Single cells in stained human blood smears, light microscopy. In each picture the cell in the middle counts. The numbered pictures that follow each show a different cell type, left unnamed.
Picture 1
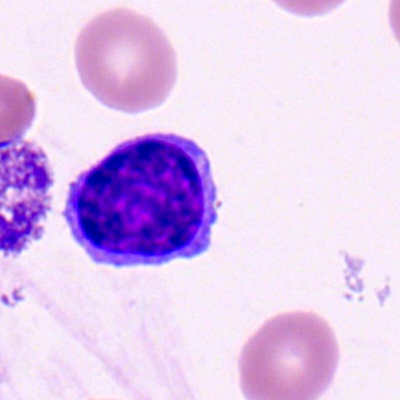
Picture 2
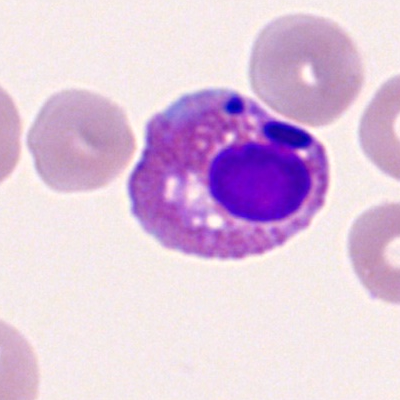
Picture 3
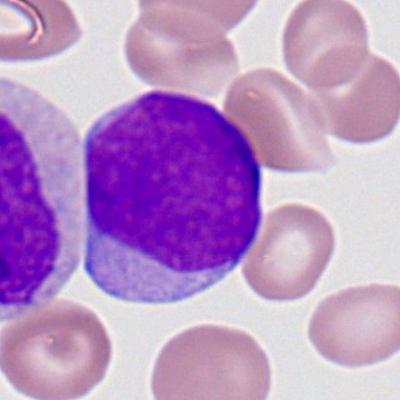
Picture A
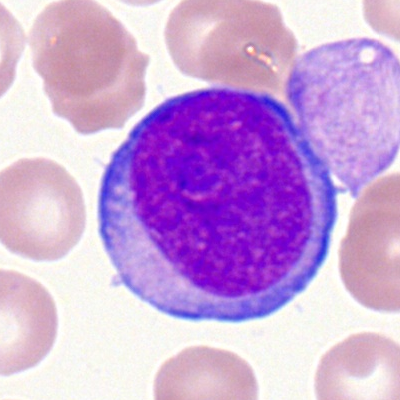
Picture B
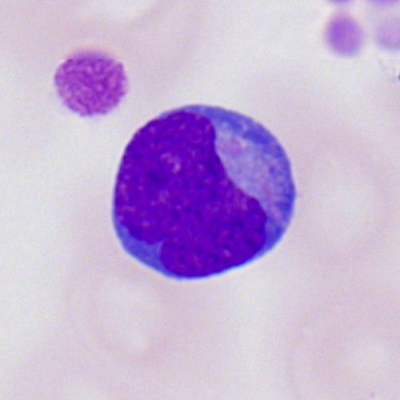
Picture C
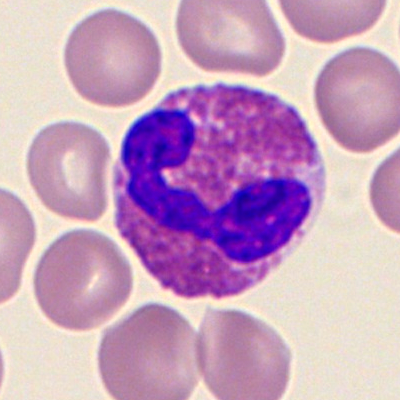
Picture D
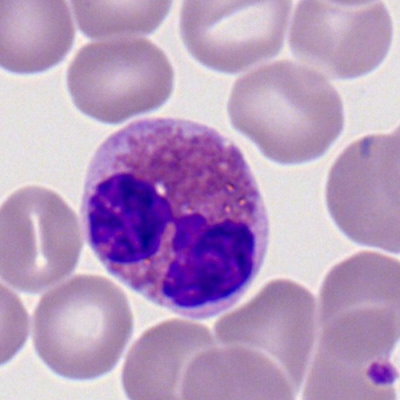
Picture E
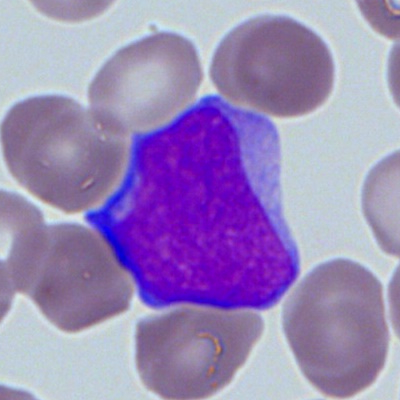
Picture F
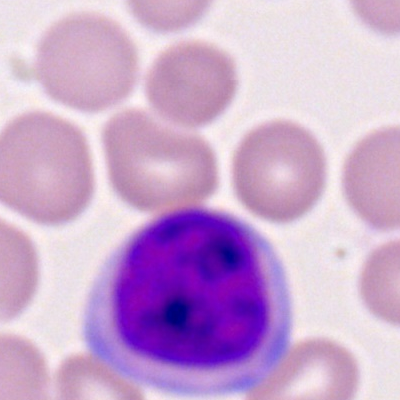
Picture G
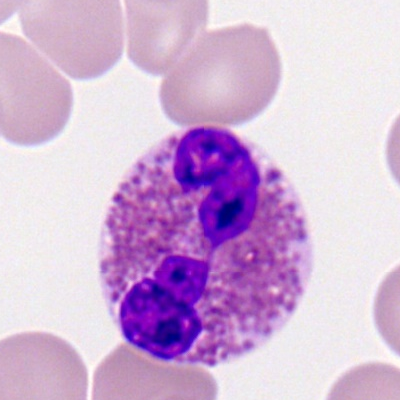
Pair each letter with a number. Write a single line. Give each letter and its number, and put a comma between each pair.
A 3, B 3, C 2, D 2, E 3, F 1, G 2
